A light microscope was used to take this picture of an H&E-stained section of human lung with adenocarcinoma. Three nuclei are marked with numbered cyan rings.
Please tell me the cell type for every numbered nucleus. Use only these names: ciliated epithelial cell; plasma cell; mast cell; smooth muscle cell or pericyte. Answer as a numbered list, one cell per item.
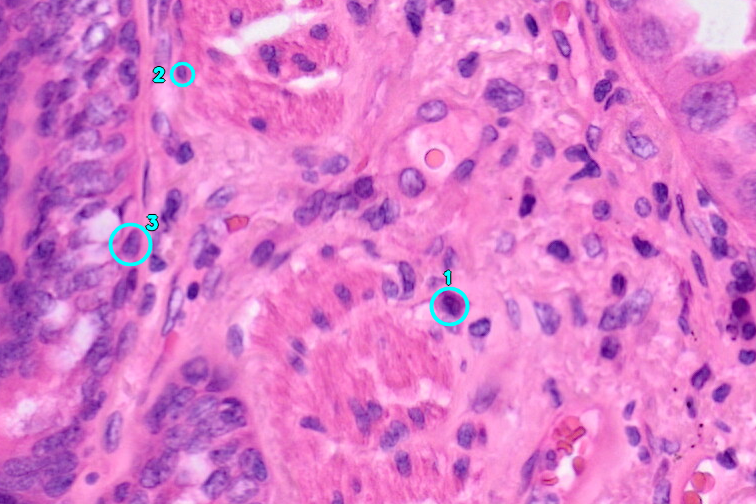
1. plasma cell
2. smooth muscle cell or pericyte
3. ciliated epithelial cell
